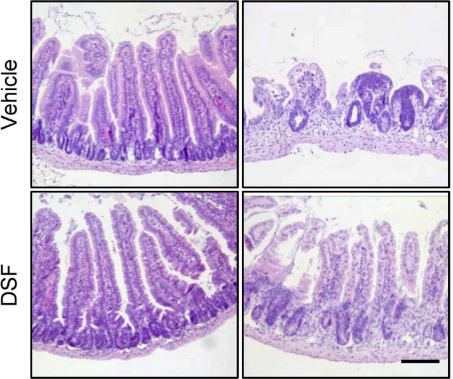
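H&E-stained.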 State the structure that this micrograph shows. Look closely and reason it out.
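Villus. Tall finger-like mucosal projections rise from the wall toward the lumen. The projections are covered by a single layer of columnar epithelium. Short glandular crypts lie at the base of the projections.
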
